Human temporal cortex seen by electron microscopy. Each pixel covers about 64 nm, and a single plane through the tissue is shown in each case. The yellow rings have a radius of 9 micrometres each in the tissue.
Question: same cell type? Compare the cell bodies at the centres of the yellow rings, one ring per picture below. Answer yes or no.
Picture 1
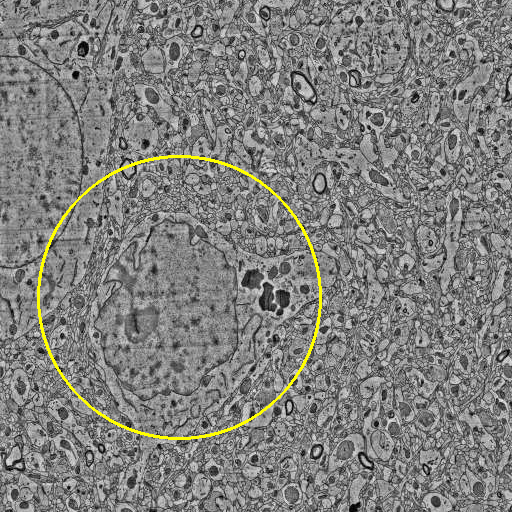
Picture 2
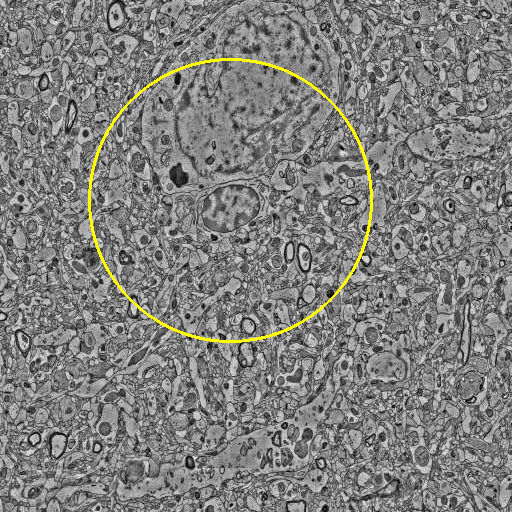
no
